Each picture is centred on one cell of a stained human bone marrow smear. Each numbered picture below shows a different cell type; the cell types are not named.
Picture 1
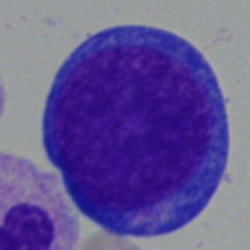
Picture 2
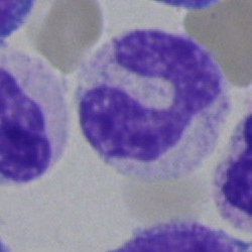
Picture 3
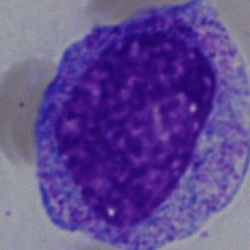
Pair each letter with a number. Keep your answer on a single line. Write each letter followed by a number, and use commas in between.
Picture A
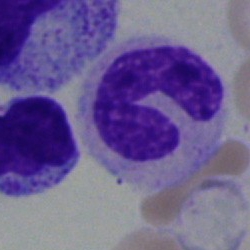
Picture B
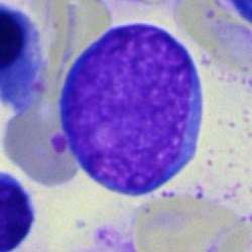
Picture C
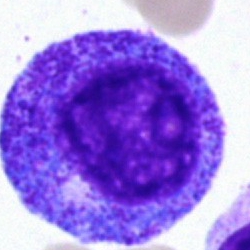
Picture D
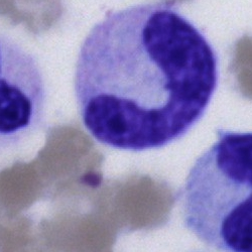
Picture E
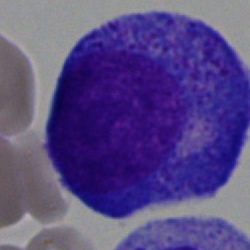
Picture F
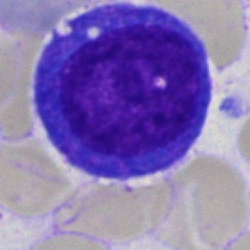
A 2, B 1, C 3, D 2, E 3, F 3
